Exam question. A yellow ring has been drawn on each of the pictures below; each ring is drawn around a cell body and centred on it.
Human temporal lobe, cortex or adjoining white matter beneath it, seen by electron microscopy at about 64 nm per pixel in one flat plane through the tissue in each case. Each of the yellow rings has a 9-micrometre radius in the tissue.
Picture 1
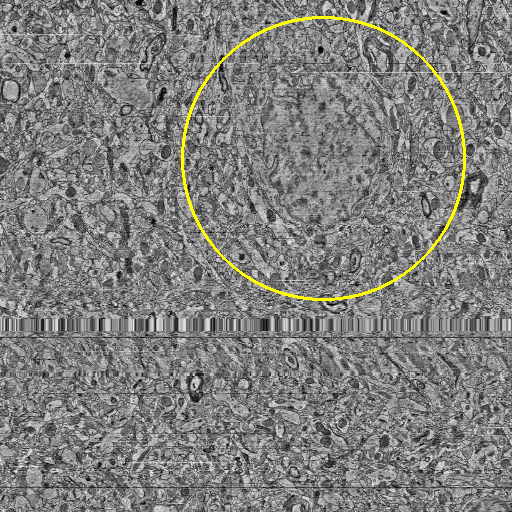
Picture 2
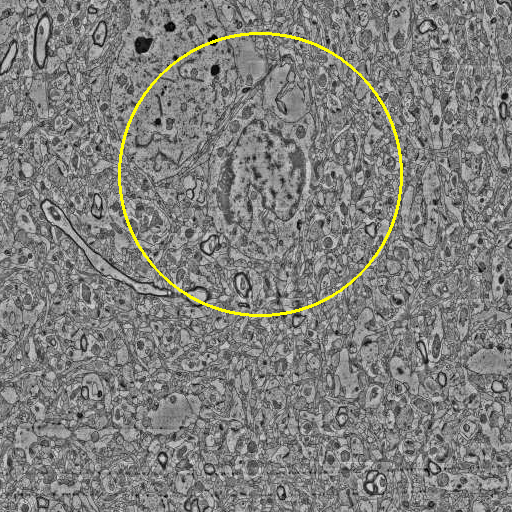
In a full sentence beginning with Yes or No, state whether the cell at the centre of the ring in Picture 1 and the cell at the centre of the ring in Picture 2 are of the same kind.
Yes, the two cells are of the same kind.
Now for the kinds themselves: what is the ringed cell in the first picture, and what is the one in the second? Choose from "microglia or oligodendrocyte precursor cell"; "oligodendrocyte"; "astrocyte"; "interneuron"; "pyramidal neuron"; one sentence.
Both pictures show an interneuron at the centre of the ring.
